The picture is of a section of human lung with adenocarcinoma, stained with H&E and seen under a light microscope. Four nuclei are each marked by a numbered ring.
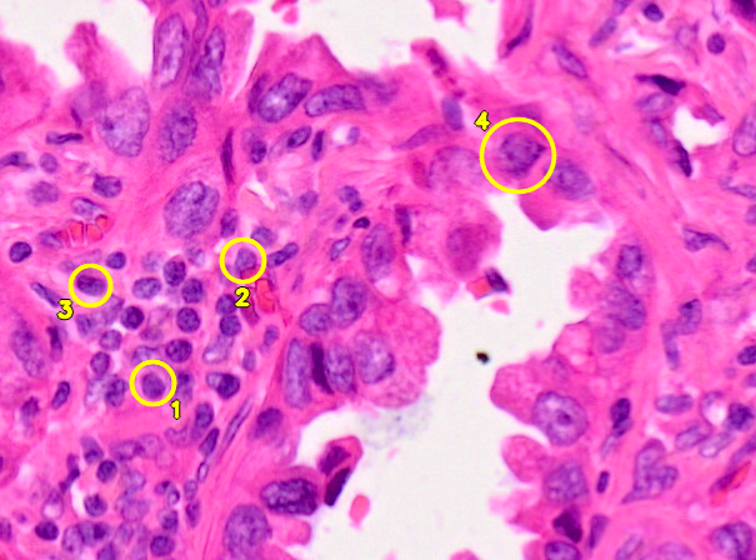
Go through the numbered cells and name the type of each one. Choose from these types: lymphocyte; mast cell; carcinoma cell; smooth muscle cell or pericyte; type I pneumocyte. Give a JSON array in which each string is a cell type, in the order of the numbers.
["lymphocyte", "lymphocyte", "lymphocyte", "carcinoma cell"]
